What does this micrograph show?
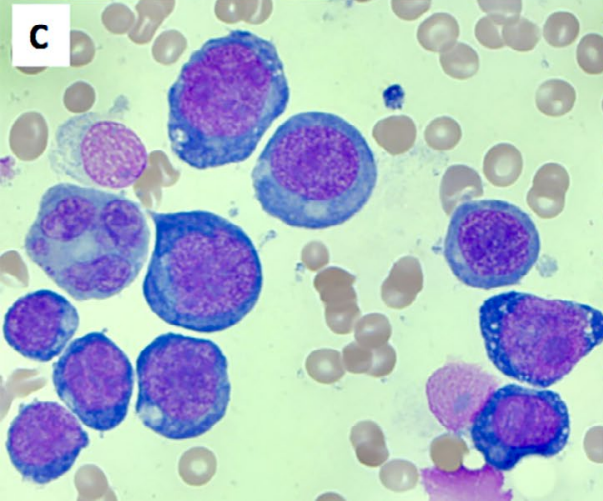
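A cluster of large immature marrow cells sits among red cells, larger than those of a usual blast population. Each has a big round nucleus with purple, finely granular chromatin and a broad rim of deep blue cytoplasm that is darkest toward the edge. Small clear vacuoles pit the cytoplasm of several cells, and one cell holds more than one nucleus. The strongly blue, vacuolated cytoplasm around round nuclei fits early red cell precursors, proerythroblasts.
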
